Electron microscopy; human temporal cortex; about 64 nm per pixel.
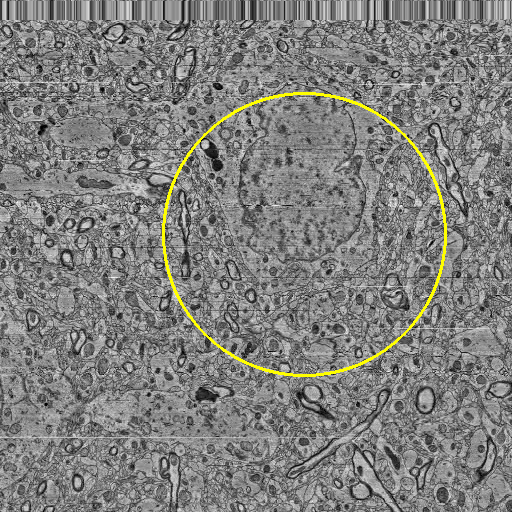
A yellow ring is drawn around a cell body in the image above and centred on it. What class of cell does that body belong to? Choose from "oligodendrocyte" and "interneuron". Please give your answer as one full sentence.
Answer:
The yellow ring above is centred on the cell body of an interneuron.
